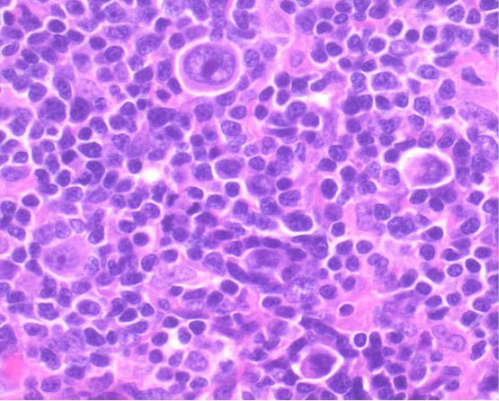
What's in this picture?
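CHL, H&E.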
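Lymphoid tissue with a few scattered large tumour cells embedded in a dense background of small cells. The large cells have abundant pale pink cytoplasm and big nuclei with prominent nucleoli, while the surrounding small lymphocytes have round, dark, compact nuclei and scant cytoplasm, mixed with cells having more pink cytoplasm.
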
